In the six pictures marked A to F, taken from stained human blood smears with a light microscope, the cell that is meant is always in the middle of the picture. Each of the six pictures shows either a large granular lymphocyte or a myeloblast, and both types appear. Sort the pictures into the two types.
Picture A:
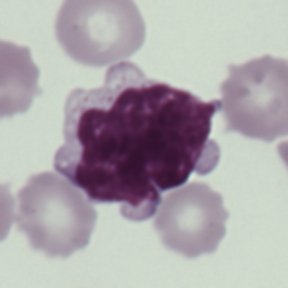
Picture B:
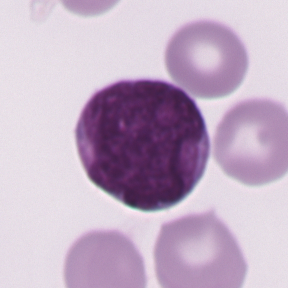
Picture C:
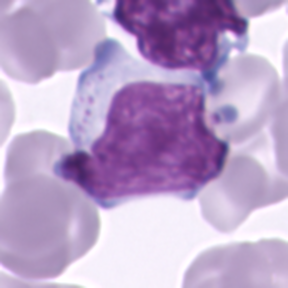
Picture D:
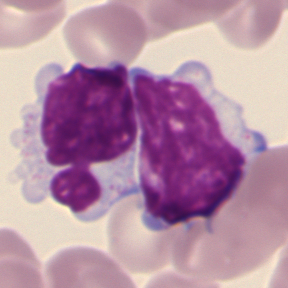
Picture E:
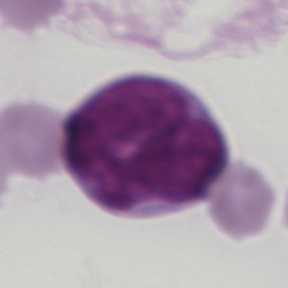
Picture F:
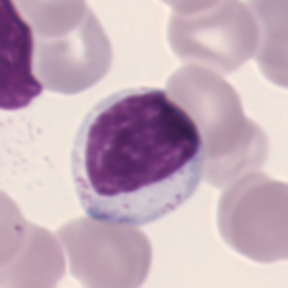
A: large granular lymphocyte
B: myeloblast
C: large granular lymphocyte
D: large granular lymphocyte
E: myeloblast
F: large granular lymphocyte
